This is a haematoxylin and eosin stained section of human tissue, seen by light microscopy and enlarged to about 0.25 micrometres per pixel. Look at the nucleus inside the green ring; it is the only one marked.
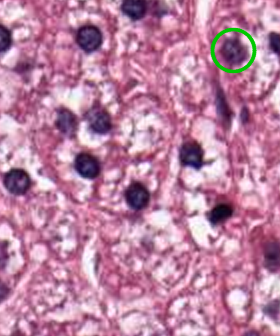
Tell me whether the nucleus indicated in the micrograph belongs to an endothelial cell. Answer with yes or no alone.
no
